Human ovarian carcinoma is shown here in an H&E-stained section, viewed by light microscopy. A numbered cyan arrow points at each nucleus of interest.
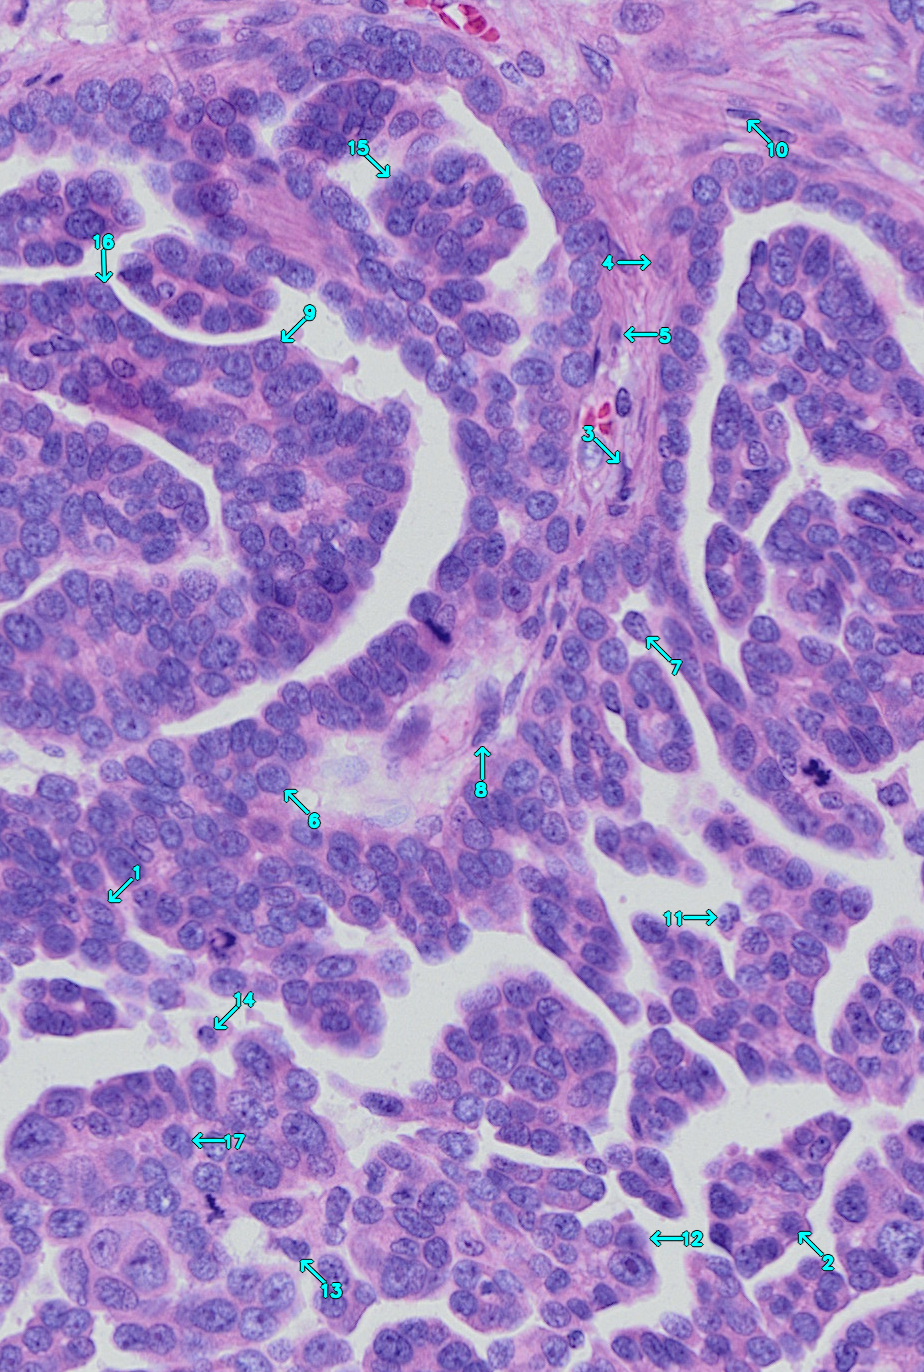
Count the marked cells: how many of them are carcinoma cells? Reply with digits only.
8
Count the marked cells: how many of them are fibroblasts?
5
